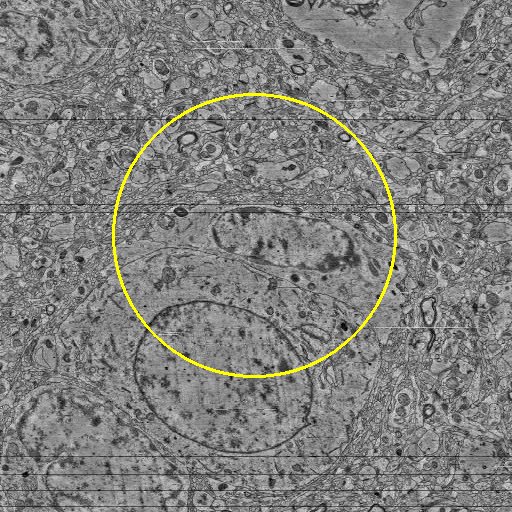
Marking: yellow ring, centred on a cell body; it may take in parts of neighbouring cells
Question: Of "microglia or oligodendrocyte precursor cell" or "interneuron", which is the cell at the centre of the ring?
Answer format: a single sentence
The ring surrounds the body of a microglial cell or oligodendrocyte precursor cell.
